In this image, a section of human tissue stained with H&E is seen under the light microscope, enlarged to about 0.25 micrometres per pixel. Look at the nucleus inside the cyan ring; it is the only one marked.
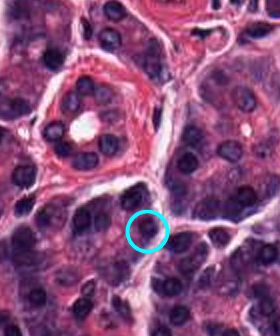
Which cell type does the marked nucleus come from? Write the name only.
pancreatic acinar cell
